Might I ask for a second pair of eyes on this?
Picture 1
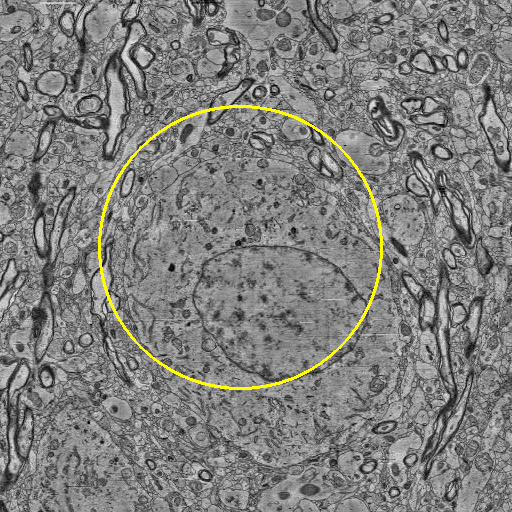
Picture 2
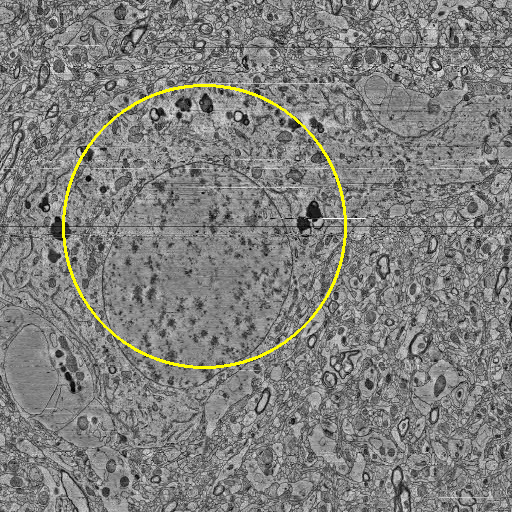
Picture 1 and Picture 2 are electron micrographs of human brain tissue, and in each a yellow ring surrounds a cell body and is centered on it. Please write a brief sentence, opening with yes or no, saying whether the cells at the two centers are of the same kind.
Yes, the cells are of the same kind.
